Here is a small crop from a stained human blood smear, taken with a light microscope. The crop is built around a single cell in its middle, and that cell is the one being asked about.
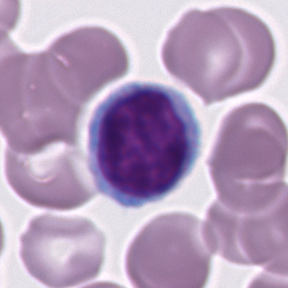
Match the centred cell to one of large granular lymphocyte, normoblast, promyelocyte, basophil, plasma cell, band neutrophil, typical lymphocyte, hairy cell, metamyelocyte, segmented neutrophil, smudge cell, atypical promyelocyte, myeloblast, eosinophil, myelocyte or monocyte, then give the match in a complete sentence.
The middle position in this crop is taken by a typical lymphocyte.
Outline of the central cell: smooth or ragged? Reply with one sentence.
Worth noting that the cell border is smooth and lacks projections.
